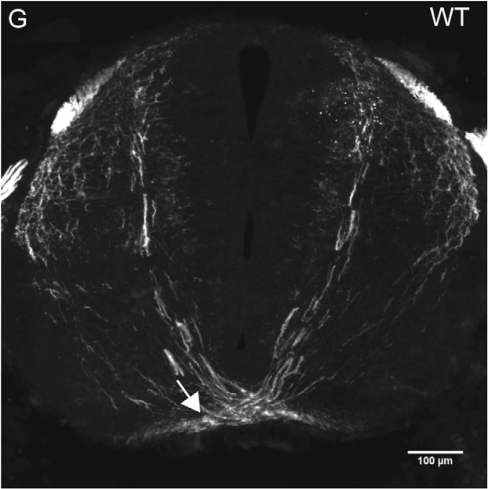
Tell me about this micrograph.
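This is a transverse section of a spinal cord, with labelled axons bright white on a dark background. The central canal is a dark slit in the midline, widest dorsally. Fine fibres fill the lateral parts of the cord and run in curved paths downward and inward, gathering into bundles on either side that converge on the ventral midline. There they cross in a dense bright band at the floor plate, along the ventral edge. Bright patches sit at the dorsolateral surface on each side. The midline tissue around the canal itself is largely unlabelled.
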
